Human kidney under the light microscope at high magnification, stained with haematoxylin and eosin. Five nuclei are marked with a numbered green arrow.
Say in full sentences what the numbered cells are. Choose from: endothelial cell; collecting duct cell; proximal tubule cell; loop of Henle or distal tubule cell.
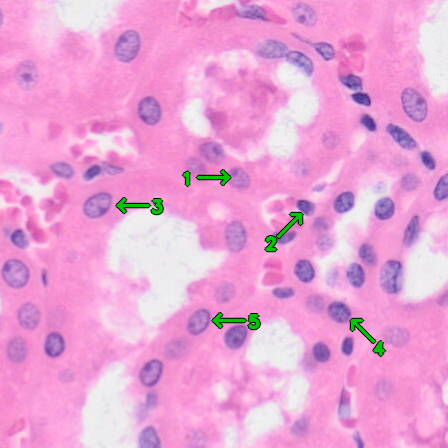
Cells 1, 3 and 5 are proximal tubule cells. Cell 2 is an endothelial cell. Cell 4 is a loop of Henle or distal tubule cell.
